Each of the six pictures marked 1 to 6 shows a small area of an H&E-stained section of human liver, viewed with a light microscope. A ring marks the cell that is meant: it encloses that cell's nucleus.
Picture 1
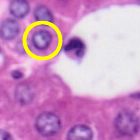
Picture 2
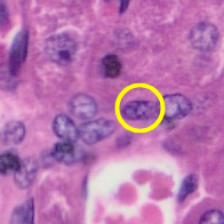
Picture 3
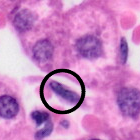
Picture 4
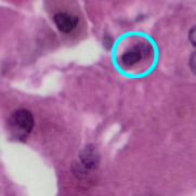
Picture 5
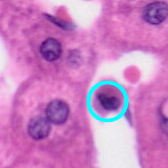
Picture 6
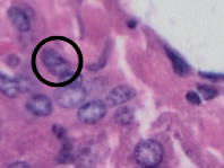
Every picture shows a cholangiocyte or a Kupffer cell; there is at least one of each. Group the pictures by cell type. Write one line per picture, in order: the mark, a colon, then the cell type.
1: cholangiocyte
2: cholangiocyte
3: Kupffer cell
4: Kupffer cell
5: Kupffer cell
6: cholangiocyte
